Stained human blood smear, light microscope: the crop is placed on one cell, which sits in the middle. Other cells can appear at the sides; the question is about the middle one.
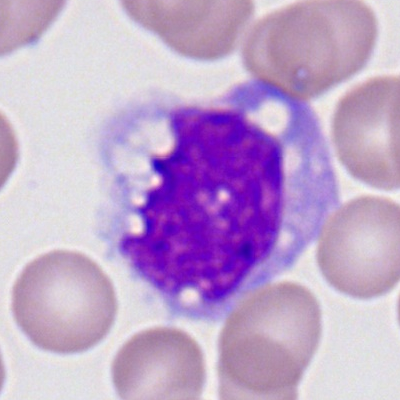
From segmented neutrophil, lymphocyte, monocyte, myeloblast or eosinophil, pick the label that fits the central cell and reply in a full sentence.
Located at the centre of the crop is a monocyte.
